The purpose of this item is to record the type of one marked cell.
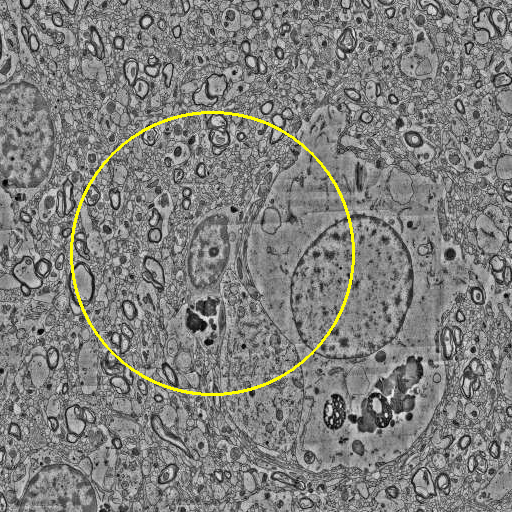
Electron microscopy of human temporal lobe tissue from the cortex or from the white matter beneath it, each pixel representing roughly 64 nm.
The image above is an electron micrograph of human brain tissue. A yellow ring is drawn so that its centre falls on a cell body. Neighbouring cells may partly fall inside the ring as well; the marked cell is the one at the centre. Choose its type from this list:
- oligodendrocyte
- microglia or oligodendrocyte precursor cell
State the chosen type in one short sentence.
What the ring marks here is an oligodendrocyte.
